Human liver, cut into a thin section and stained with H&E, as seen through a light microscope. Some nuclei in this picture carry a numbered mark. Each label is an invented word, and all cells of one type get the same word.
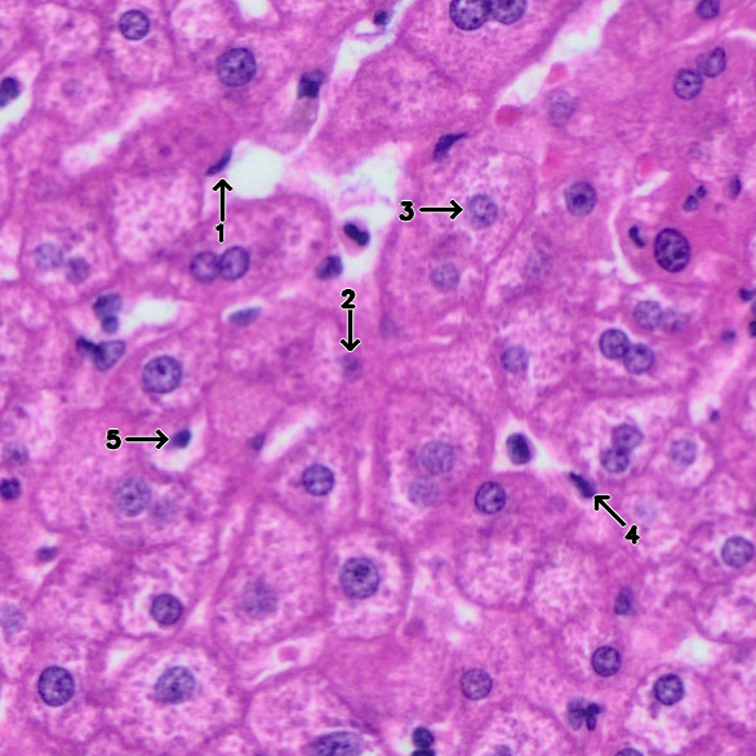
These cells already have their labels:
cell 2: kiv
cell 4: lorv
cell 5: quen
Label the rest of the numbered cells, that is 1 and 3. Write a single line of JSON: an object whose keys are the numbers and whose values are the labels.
{"1": "lorv", "3": "kiv"}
